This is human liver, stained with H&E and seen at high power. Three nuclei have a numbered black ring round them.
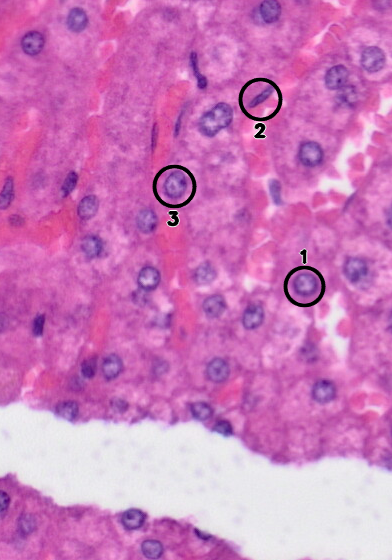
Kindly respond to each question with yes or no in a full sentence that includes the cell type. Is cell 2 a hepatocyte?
No, number 2 is assigned to an endothelial cell, not to a hepatocyte.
